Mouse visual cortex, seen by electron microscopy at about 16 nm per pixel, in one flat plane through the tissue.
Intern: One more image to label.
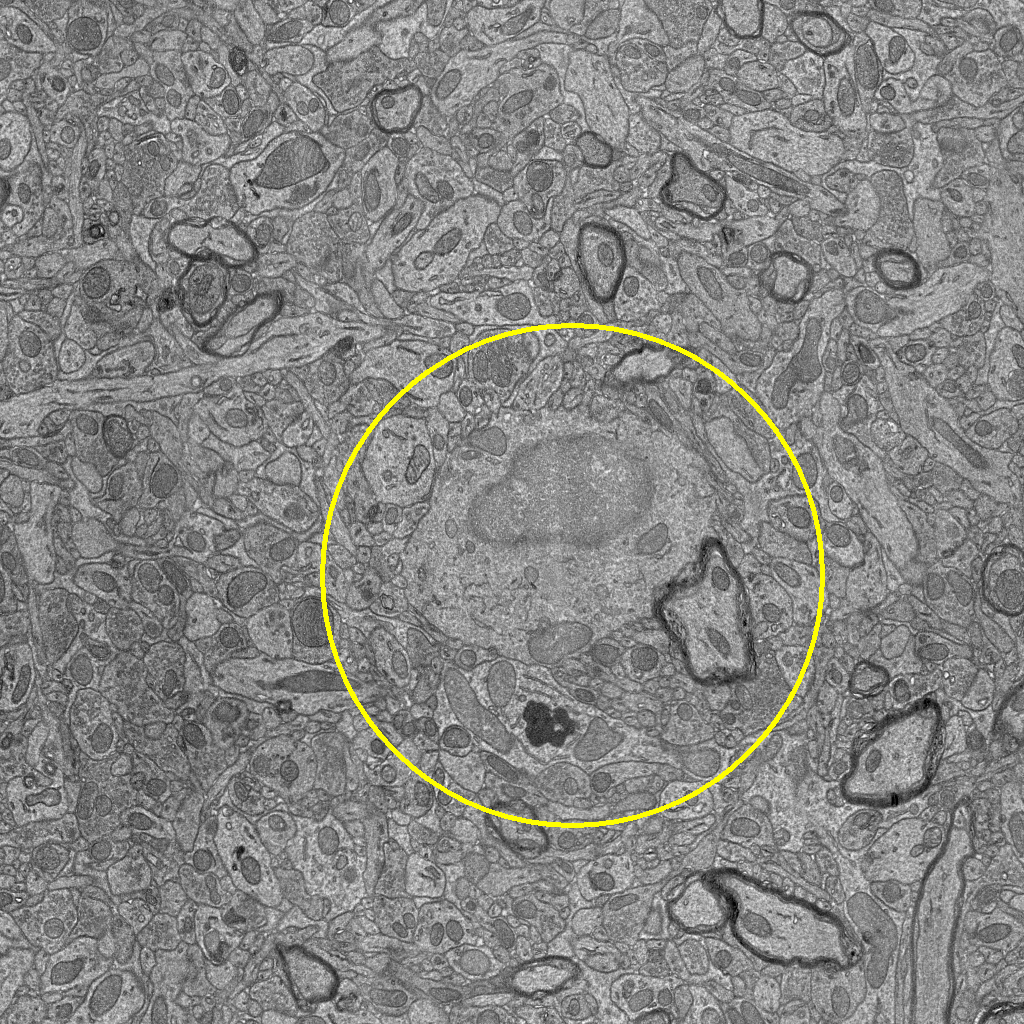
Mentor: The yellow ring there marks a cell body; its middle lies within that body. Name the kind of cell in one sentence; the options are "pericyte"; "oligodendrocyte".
The ring marks the cell body of an oligodendrocyte.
